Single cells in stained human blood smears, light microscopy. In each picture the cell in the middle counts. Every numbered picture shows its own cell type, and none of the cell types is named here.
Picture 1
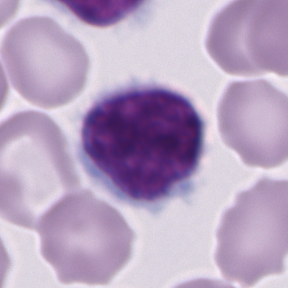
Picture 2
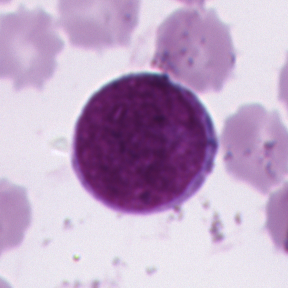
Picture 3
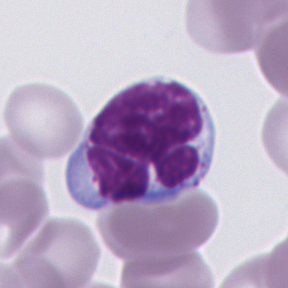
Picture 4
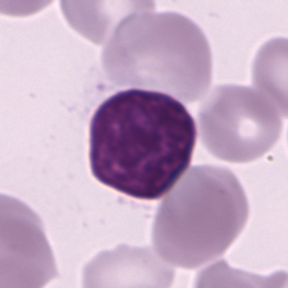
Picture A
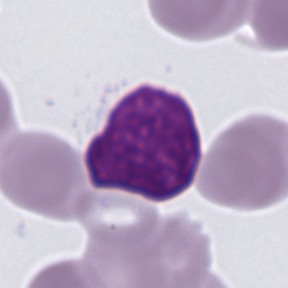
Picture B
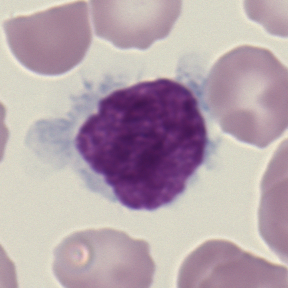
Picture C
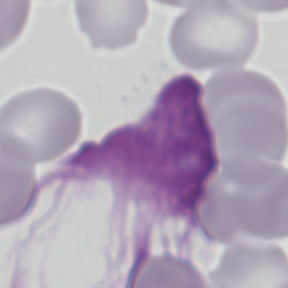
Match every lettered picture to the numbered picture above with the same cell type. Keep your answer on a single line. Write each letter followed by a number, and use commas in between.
A 4, B 1, C 4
